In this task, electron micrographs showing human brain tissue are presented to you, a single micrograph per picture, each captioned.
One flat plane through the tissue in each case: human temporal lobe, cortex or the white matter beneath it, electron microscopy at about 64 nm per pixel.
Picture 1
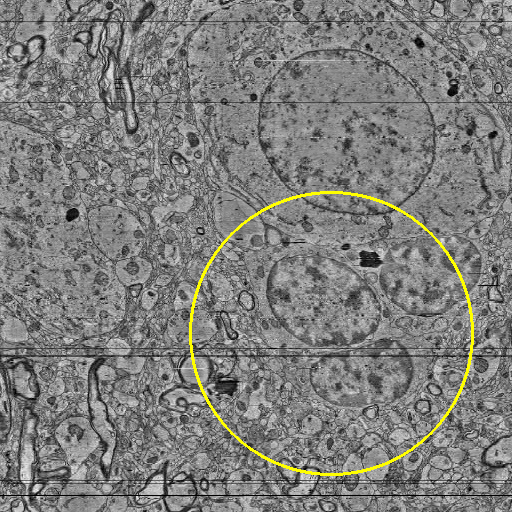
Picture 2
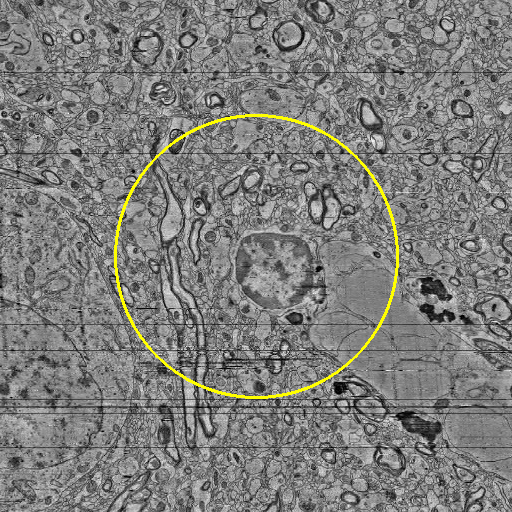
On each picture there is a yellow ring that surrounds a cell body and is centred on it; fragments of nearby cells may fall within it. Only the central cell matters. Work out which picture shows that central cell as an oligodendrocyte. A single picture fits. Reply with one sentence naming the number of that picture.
Of all the pictures, number 1 has the right cell in the centre of its ring.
